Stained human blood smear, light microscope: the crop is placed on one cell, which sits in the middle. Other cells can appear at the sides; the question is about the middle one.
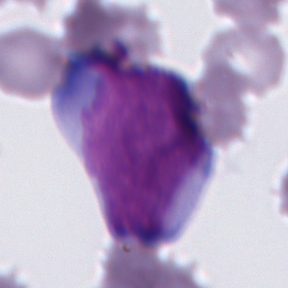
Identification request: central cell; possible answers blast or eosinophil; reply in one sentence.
In the crop, the cell of interest at the centre is a blast.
